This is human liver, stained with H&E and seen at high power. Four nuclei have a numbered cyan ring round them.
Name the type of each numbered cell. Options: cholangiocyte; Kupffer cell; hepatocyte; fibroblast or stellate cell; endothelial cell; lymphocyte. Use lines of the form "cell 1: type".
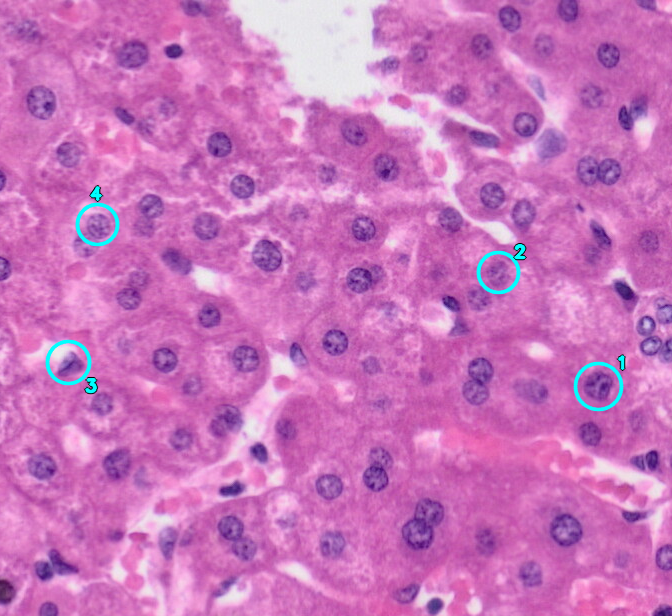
cell 1: hepatocyte
cell 2: hepatocyte
cell 3: endothelial cell
cell 4: hepatocyte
